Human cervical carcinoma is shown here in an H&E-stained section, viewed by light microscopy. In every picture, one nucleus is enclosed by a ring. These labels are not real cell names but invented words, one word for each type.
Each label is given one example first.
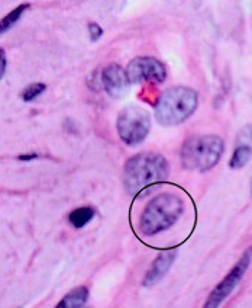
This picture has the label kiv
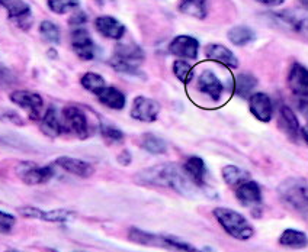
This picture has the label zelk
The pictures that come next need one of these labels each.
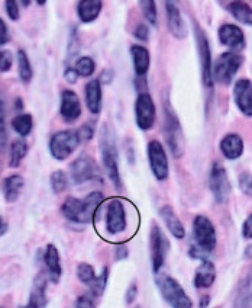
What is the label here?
zelk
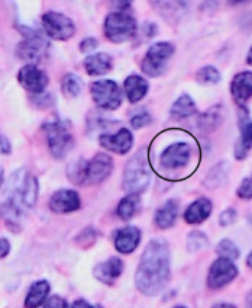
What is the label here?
zelk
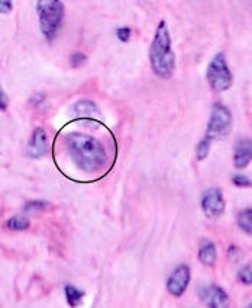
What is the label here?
kiv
